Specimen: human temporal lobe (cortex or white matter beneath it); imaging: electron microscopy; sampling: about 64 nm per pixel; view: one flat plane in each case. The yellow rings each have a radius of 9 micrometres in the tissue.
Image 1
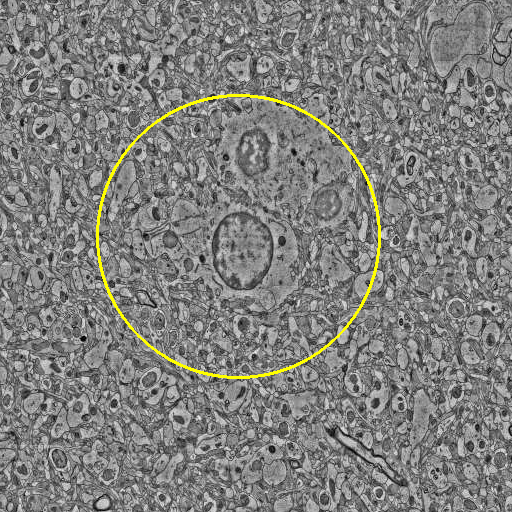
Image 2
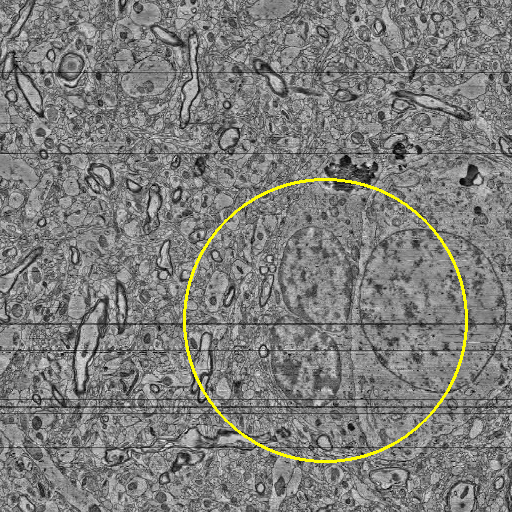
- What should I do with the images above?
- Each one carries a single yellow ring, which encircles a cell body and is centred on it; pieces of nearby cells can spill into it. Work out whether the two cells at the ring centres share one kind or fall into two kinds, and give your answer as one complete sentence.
The ring-centre cells of Image 1 and Image 2 fall into two kinds.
